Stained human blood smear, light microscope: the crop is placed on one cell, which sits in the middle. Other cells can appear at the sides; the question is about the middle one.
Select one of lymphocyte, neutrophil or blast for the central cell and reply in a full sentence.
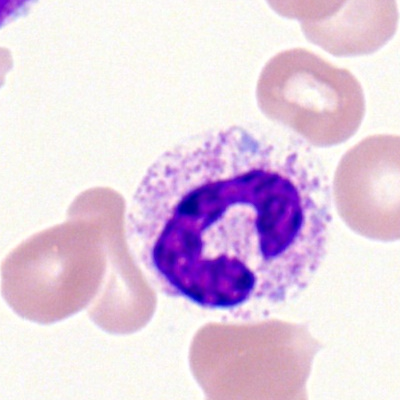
Where the crop is centred, there is a neutrophil.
